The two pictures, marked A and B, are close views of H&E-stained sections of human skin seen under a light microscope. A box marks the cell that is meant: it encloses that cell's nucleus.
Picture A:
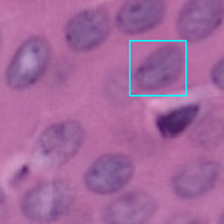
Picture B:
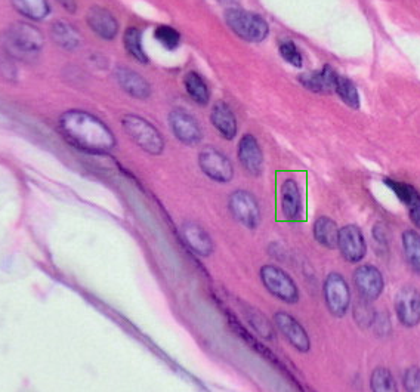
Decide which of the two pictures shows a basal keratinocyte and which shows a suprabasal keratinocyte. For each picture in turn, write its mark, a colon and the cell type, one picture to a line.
A: suprabasal keratinocyte
B: basal keratinocyte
